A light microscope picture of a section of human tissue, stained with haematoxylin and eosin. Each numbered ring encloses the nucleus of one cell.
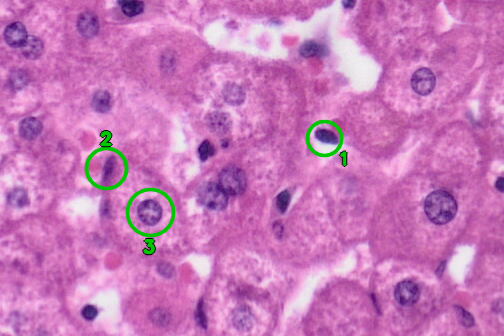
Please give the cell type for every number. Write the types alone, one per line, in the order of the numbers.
lymphocyte
Kupffer cell
hepatocyte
